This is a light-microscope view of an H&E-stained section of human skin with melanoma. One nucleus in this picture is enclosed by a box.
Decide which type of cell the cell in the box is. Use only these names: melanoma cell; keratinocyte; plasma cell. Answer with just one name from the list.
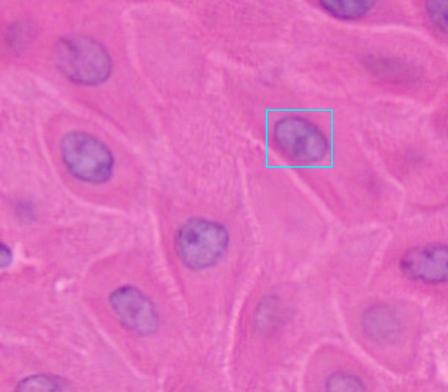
keratinocyte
